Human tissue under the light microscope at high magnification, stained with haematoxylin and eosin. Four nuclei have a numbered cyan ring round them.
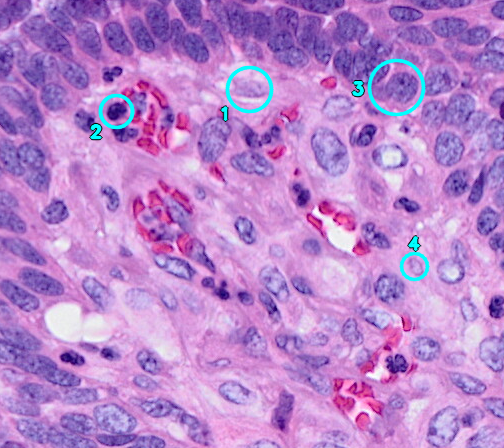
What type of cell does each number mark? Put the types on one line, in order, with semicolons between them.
fibroblast; lymphocyte; carcinoma cell; fibroblast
